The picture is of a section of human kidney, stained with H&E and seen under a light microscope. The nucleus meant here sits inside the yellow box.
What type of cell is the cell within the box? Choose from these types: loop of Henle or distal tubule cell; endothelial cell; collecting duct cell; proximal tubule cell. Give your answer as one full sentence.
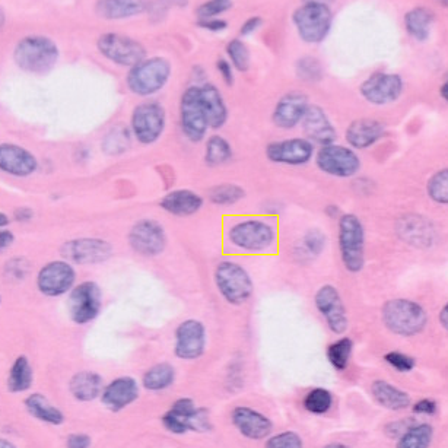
The cell within the box is a collecting duct cell.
